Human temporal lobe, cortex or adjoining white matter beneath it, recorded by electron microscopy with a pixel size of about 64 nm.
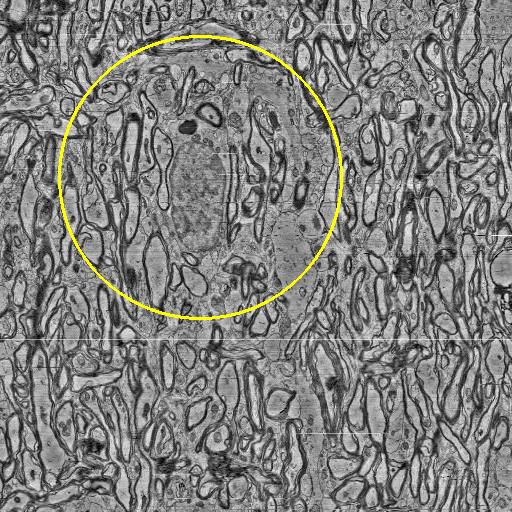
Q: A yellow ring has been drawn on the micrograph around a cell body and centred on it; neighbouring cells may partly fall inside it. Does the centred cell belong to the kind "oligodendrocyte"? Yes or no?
Yes, it belongs to that kind.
